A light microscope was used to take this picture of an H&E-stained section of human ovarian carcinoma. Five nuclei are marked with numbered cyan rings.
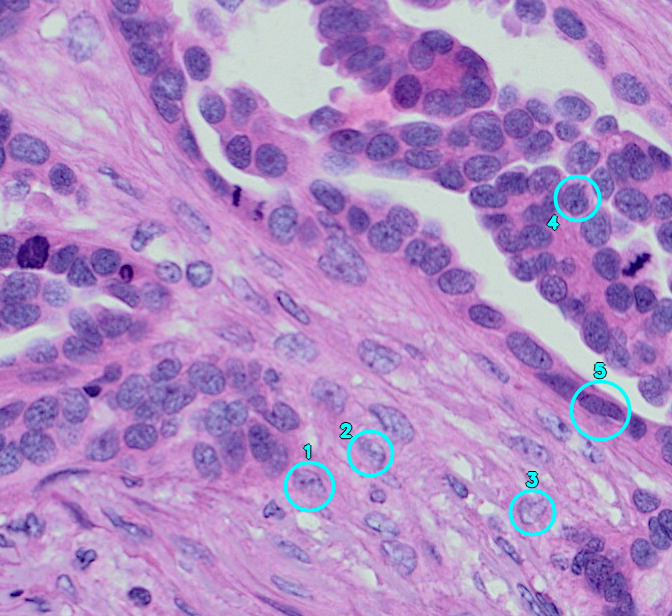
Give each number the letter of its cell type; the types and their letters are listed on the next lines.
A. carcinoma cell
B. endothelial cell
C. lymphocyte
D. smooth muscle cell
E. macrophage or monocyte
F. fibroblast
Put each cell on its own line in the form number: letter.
1: F
2: F
3: F
4: A
5: A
